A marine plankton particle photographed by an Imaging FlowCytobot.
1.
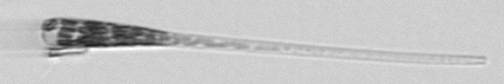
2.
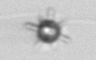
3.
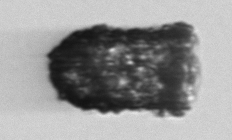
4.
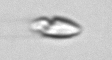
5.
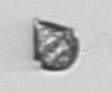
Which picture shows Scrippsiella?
Picture 5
